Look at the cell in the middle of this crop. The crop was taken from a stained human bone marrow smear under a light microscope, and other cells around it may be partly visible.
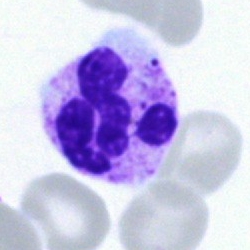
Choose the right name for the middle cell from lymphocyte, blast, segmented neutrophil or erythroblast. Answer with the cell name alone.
segmented neutrophil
